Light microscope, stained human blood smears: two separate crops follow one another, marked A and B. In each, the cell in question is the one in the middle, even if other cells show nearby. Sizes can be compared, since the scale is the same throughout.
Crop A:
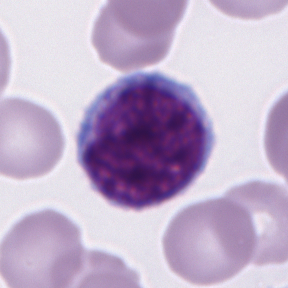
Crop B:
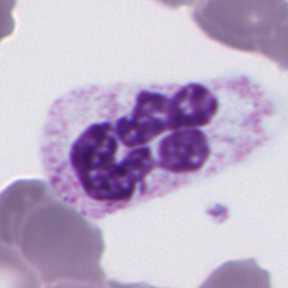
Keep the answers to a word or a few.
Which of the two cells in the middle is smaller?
A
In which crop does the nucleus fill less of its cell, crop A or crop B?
B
